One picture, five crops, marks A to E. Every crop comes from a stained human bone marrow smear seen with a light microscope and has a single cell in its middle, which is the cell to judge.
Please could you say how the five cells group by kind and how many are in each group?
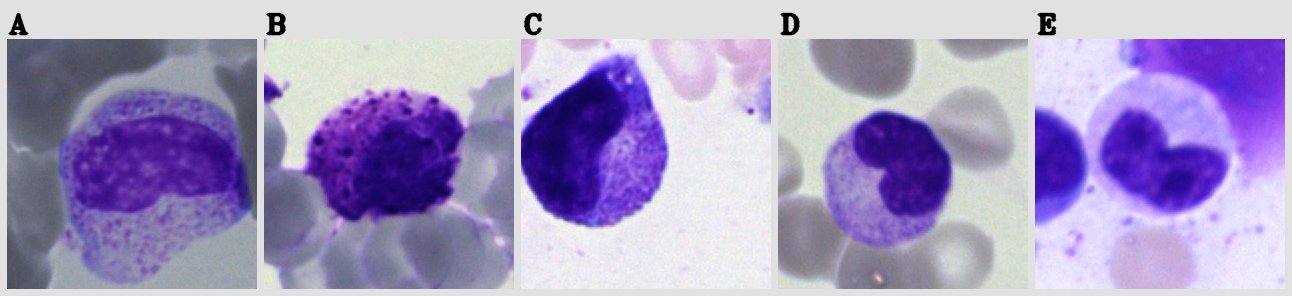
metamyelocyte: 4
basophil: 1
